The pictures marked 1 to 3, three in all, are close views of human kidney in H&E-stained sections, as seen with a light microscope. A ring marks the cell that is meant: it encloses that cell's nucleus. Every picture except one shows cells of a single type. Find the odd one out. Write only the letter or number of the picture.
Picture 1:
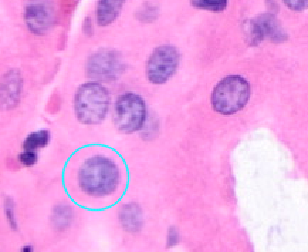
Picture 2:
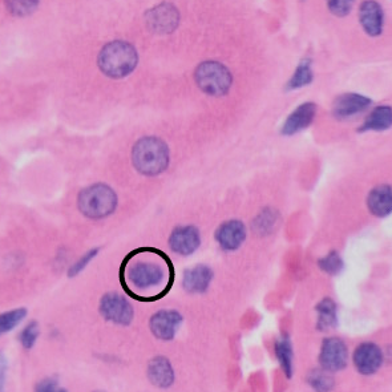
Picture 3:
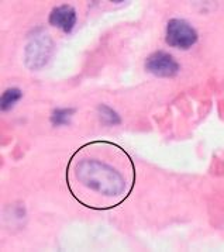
3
